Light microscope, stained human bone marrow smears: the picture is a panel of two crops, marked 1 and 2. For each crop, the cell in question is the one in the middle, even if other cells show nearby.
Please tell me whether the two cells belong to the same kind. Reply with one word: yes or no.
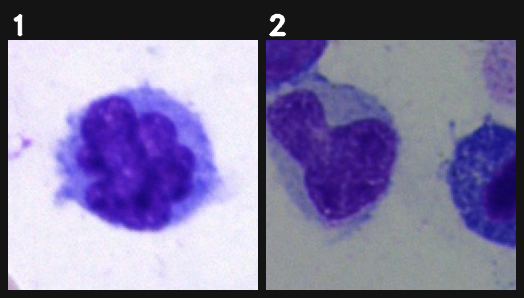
yes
